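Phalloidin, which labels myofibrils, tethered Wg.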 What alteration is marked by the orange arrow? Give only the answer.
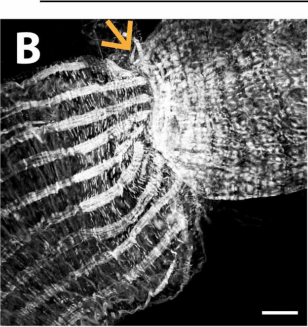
A constriction.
